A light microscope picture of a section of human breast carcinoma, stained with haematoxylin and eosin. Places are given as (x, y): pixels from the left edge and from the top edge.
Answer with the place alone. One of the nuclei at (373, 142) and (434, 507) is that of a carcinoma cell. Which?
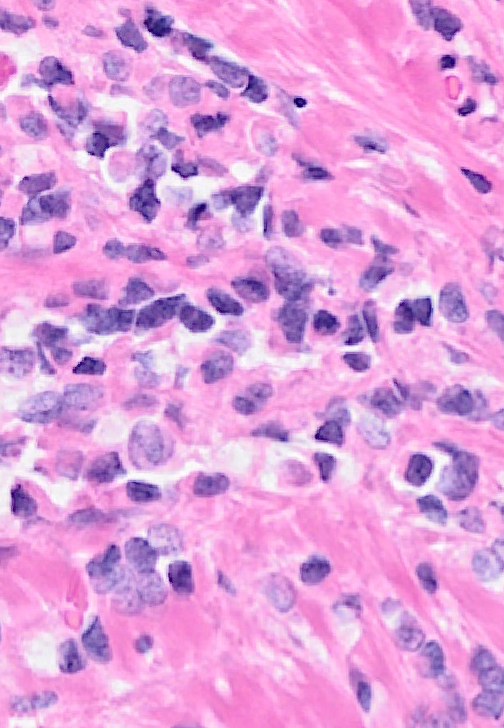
(434, 507)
